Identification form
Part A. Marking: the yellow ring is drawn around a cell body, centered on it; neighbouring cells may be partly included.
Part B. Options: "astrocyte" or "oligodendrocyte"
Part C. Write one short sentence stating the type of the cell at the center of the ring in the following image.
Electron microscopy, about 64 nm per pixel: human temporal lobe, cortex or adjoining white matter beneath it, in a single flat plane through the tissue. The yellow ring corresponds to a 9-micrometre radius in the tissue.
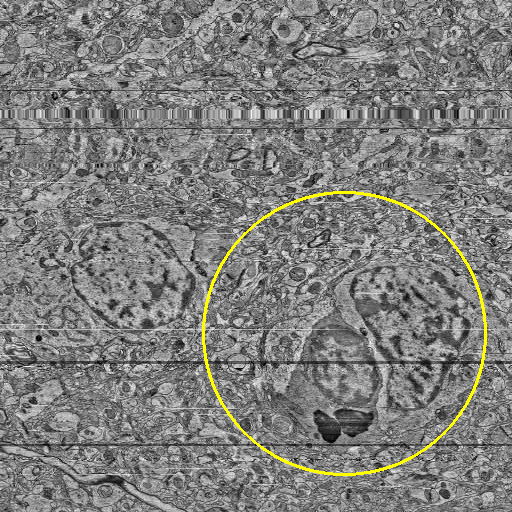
The center of the ring holds an oligodendrocyte.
